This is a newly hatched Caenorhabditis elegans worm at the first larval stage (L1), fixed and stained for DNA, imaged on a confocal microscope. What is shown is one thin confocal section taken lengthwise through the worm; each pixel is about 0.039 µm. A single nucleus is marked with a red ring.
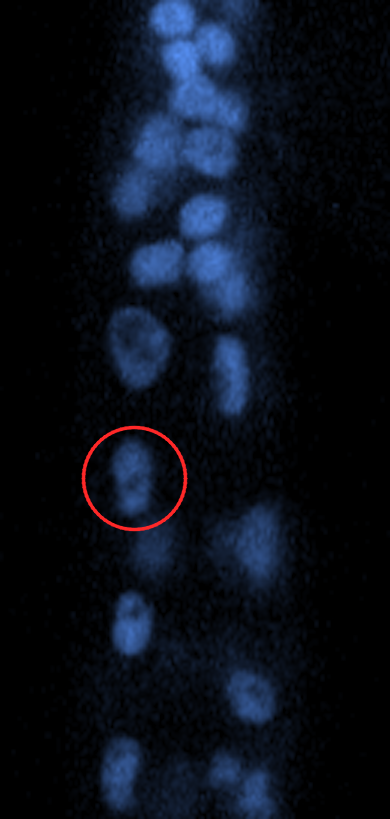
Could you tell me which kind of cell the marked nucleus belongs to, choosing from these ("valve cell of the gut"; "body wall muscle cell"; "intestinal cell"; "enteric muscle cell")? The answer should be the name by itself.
body wall muscle cell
